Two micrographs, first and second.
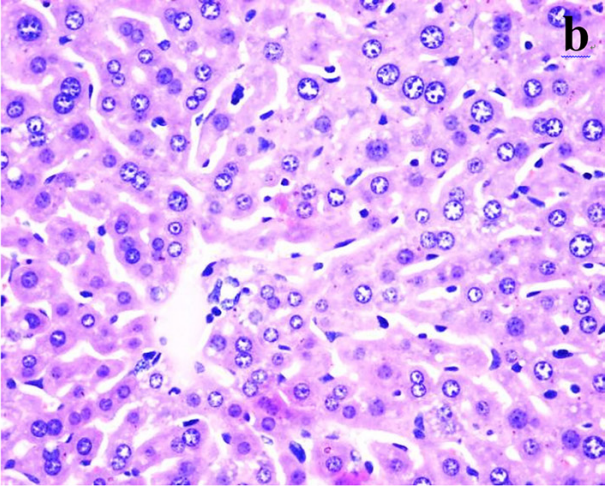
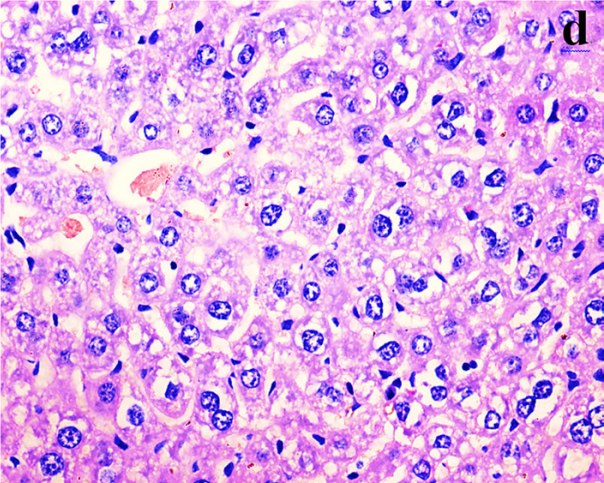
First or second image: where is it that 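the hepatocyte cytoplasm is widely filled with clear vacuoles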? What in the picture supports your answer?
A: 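Second image: most hepatocytes have pale, foamy cytoplasm with many clear vacuoles. First image: hepatocyte cytoplasm is mostly evenly pink with only a few small vacuoles. On this evidence: the second image.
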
